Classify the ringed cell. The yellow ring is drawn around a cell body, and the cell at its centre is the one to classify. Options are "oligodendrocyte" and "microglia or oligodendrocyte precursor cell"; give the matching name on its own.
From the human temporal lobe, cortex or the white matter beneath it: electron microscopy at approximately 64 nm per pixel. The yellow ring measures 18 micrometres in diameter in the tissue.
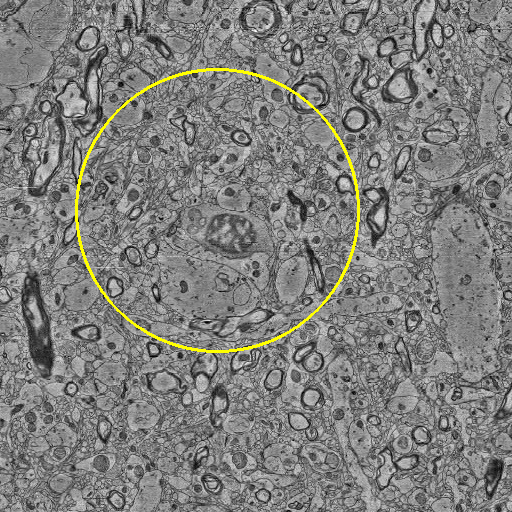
oligodendrocyte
